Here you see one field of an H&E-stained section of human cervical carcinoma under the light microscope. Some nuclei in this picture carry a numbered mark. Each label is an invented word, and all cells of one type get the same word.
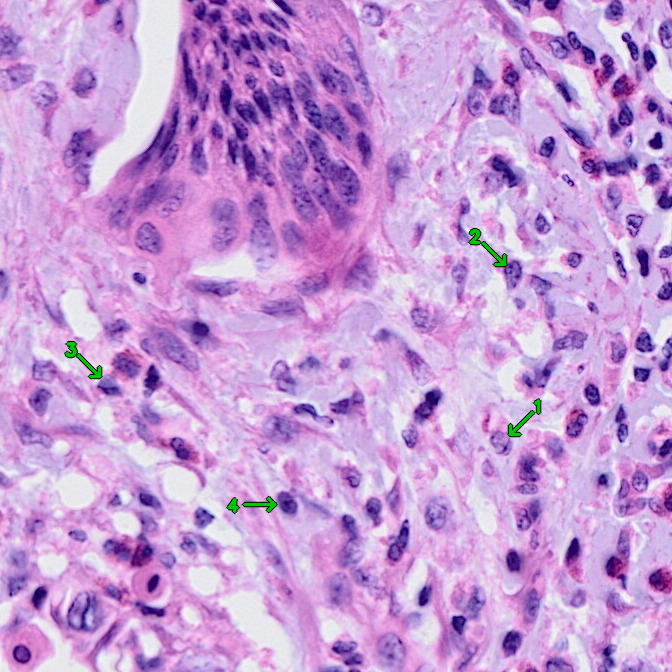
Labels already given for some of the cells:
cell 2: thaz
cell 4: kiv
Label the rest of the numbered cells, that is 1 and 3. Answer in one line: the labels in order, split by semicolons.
thaz; kiv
